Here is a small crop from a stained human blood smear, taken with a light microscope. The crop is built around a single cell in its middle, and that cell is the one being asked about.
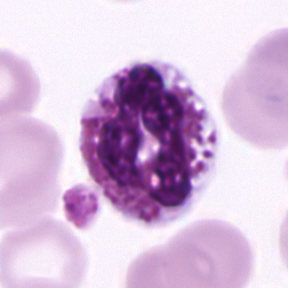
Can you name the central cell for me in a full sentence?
By classification, the middle cell of this crop is an eosinophil.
